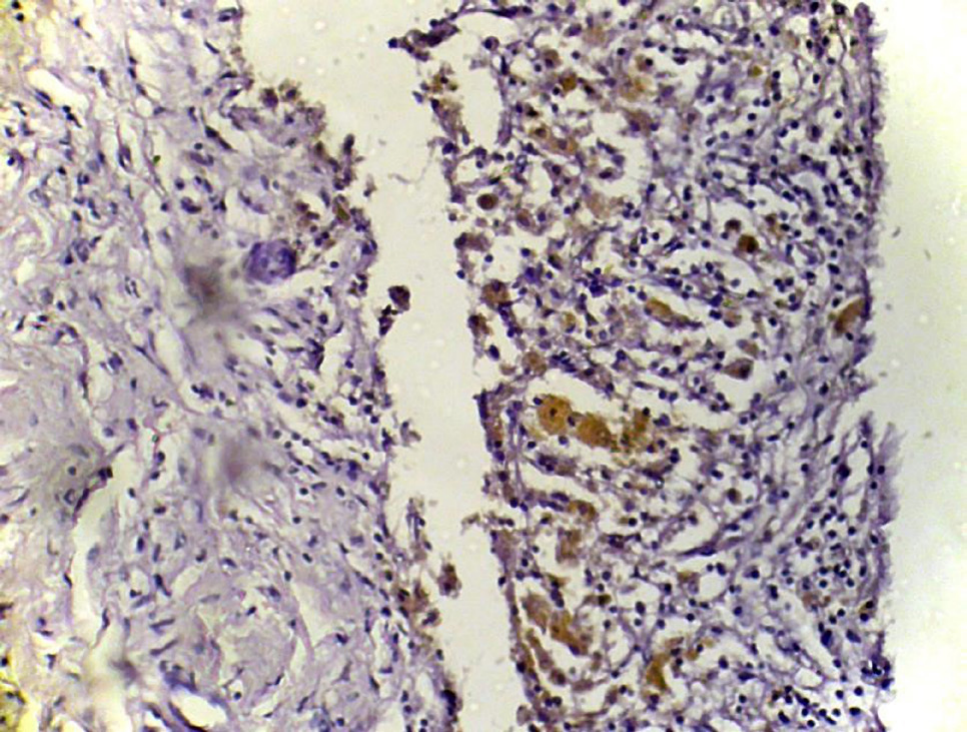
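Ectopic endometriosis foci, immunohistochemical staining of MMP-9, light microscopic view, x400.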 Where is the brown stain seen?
stroma, subepithelial and epithelial layer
